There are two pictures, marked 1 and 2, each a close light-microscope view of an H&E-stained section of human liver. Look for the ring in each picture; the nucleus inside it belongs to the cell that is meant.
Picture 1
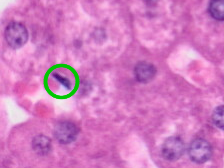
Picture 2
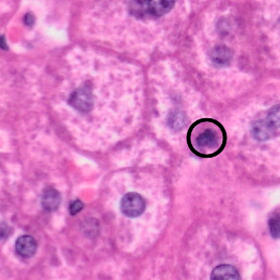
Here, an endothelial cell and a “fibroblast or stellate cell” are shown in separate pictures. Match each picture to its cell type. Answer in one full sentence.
In picture 1 the cell is an endothelial cell; in picture 2, a “fibroblast or stellate cell”.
